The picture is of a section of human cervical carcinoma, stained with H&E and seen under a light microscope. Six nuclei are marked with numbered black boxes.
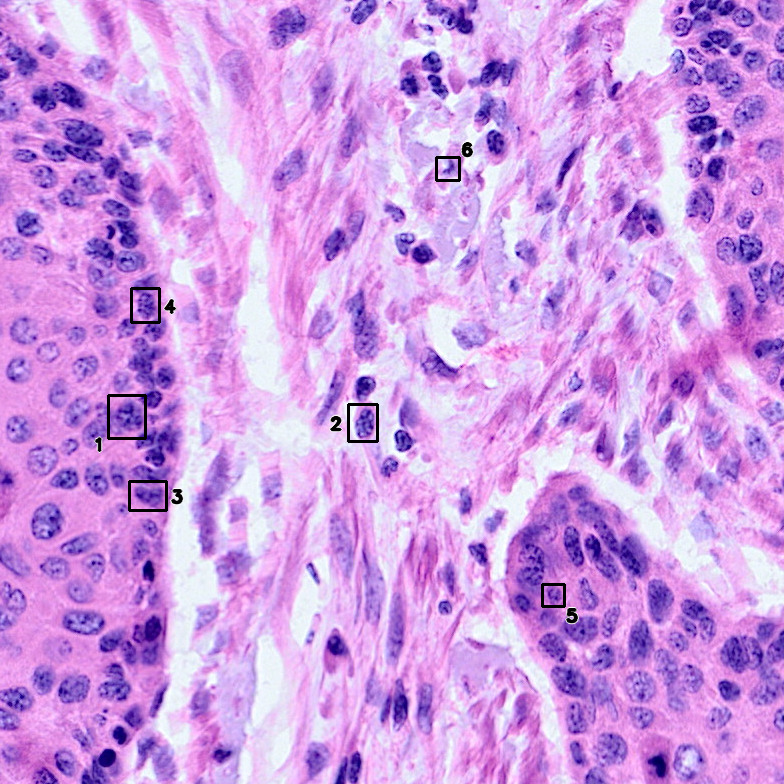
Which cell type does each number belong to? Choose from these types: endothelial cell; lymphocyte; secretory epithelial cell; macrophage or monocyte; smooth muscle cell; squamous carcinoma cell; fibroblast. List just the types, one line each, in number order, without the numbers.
squamous carcinoma cell
lymphocyte
squamous carcinoma cell
squamous carcinoma cell
squamous carcinoma cell
fibroblast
